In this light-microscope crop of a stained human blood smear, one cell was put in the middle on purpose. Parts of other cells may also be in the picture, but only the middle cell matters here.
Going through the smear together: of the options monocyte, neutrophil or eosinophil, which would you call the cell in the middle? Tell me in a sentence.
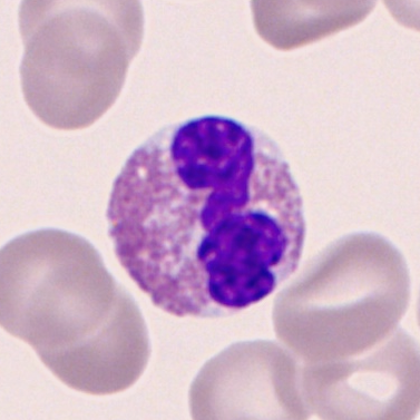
Classification of the middle cell gives an eosinophil.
